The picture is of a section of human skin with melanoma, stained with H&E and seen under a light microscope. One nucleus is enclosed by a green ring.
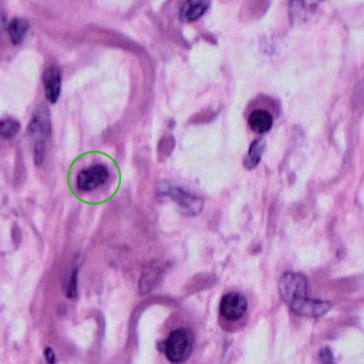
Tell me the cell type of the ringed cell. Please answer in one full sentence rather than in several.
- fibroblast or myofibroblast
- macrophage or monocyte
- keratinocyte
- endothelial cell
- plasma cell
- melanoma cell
As to its cell type, the ringed cell is a plasma cell.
